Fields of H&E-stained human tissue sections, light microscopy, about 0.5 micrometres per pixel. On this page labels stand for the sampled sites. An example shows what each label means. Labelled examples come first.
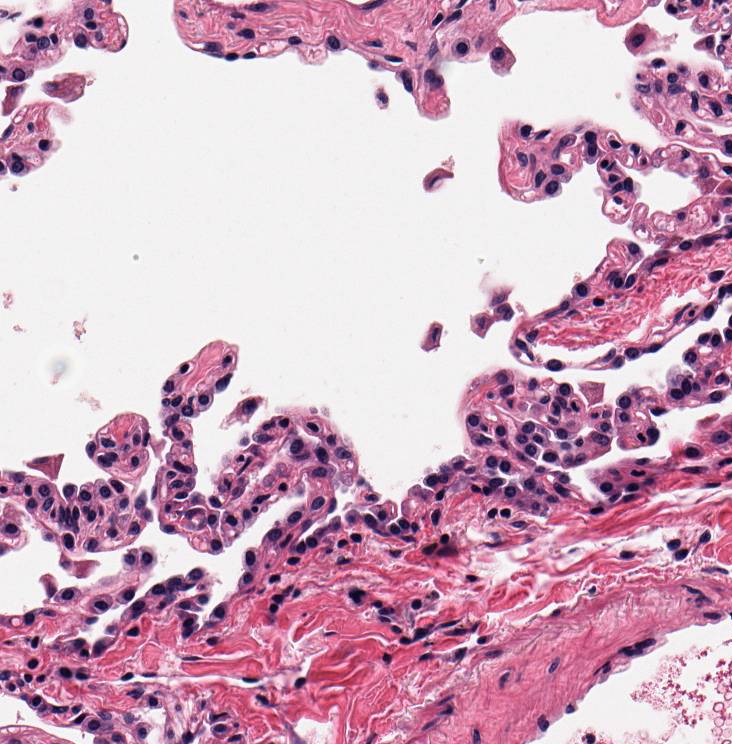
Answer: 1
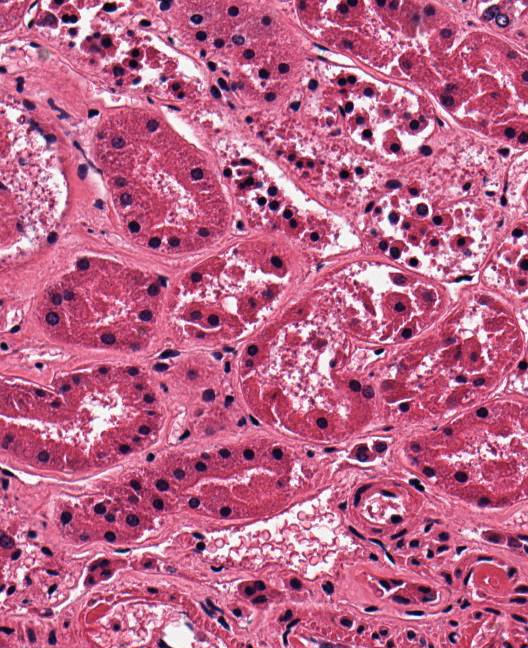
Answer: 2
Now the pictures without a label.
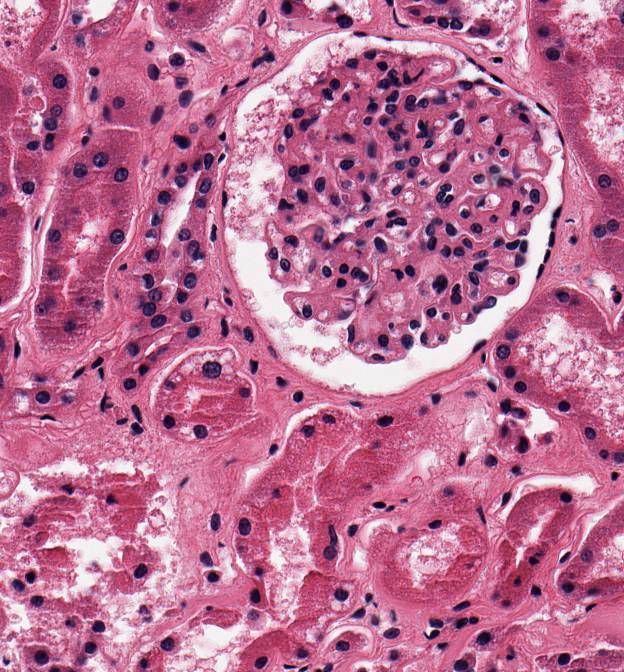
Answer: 2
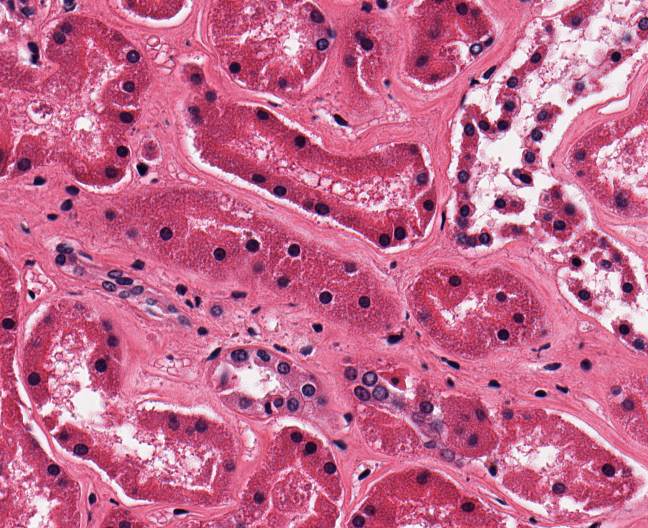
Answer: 2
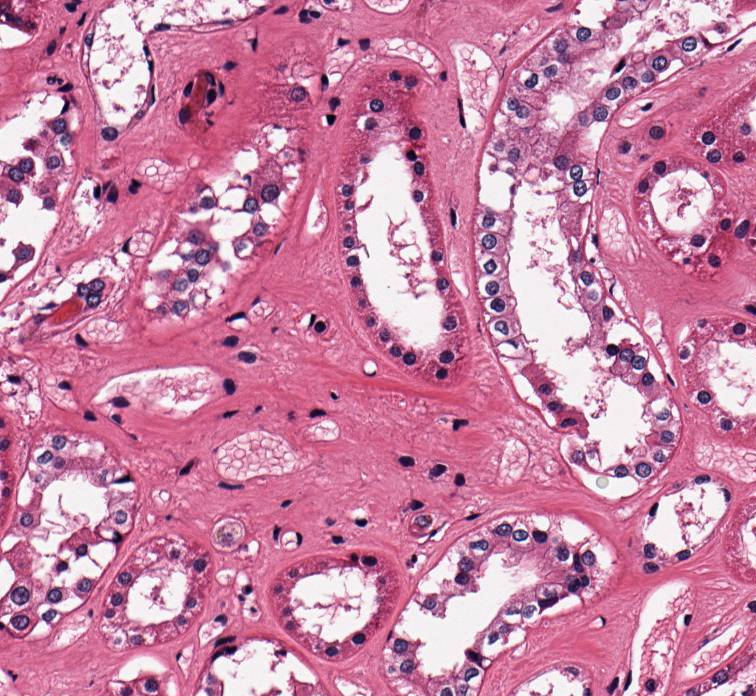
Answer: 2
